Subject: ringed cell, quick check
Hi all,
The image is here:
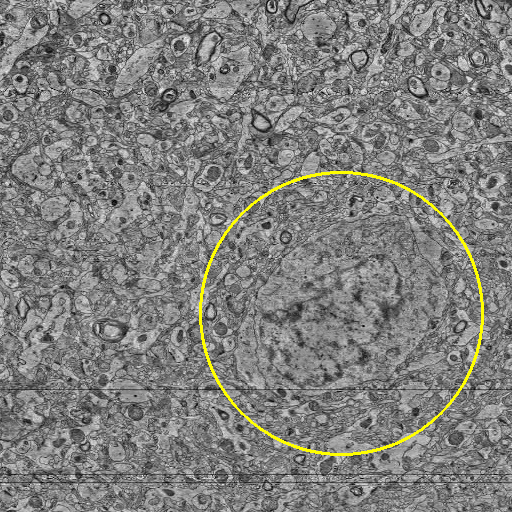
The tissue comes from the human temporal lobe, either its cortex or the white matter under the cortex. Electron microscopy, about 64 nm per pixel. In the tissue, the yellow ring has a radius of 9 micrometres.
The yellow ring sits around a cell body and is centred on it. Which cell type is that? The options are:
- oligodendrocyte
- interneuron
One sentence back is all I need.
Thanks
That ringed cell is an interneuron.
